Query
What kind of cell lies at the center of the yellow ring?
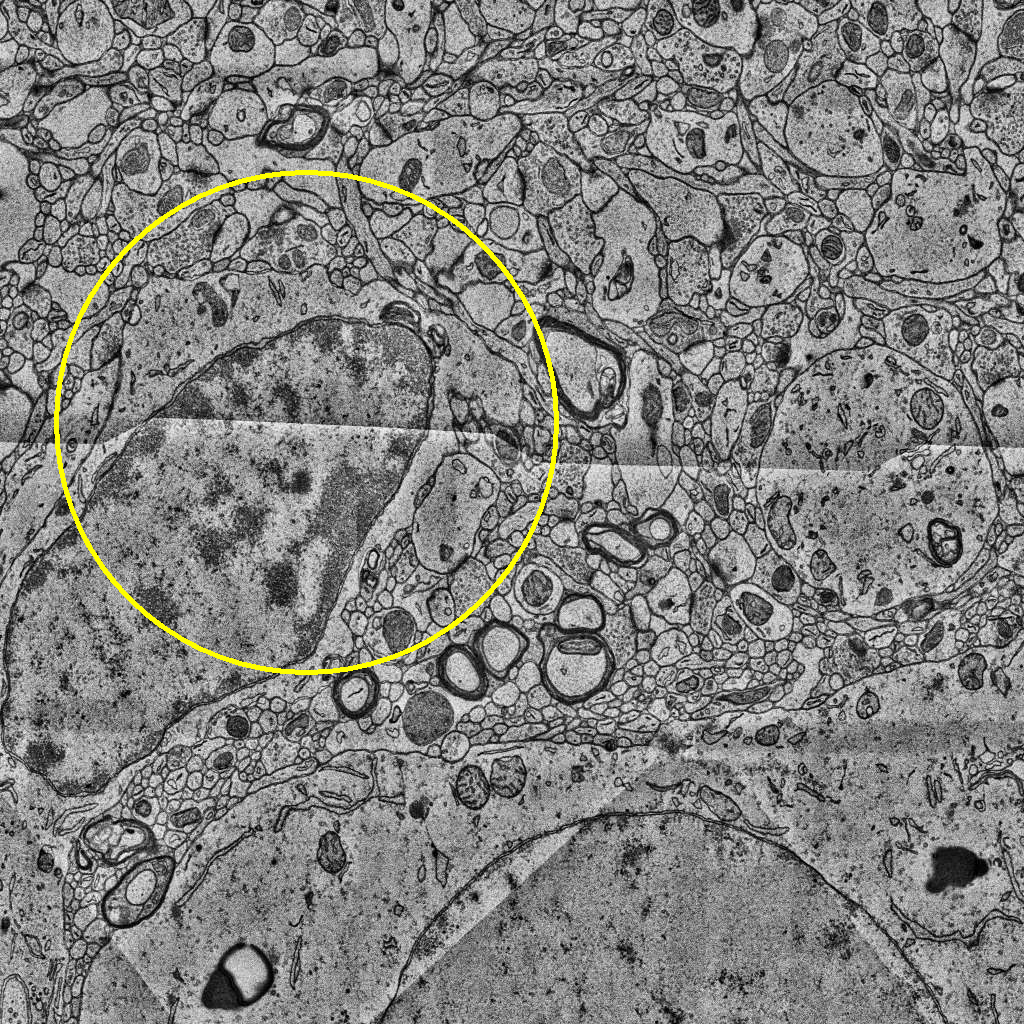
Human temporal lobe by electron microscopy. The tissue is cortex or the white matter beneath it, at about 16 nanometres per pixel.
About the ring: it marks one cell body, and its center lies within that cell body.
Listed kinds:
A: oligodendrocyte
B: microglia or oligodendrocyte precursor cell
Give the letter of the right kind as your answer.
B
